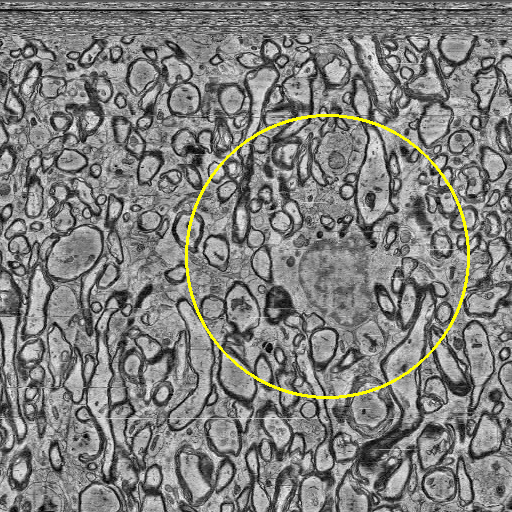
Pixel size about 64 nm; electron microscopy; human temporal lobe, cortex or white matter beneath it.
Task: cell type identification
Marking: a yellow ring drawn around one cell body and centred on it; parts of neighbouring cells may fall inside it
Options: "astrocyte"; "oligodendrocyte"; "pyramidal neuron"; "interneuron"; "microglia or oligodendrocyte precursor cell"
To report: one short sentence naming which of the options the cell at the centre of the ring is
The cell at the centre of the ring is an oligodendrocyte.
